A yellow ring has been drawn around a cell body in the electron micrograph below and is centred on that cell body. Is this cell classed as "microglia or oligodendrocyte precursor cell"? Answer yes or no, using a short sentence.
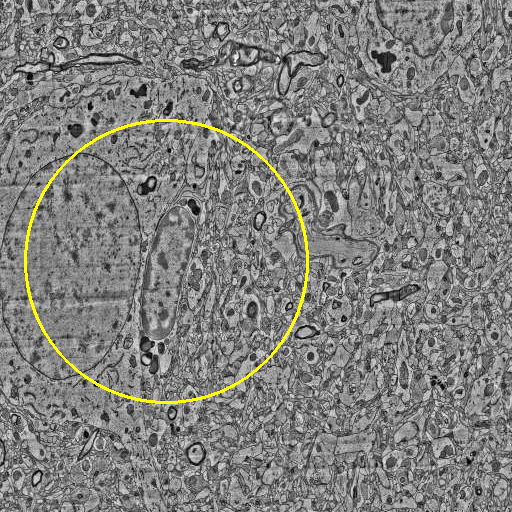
Yes, it is classed as that kind.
